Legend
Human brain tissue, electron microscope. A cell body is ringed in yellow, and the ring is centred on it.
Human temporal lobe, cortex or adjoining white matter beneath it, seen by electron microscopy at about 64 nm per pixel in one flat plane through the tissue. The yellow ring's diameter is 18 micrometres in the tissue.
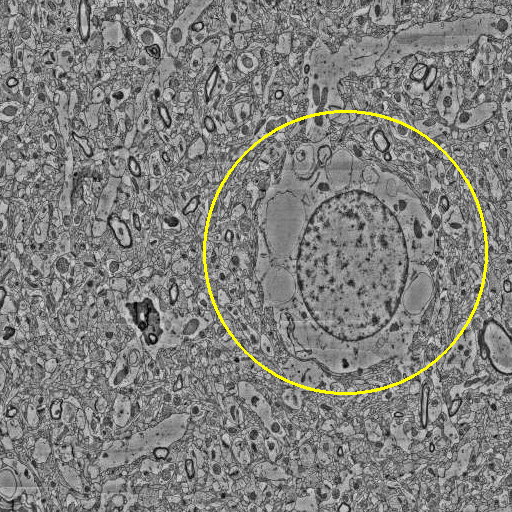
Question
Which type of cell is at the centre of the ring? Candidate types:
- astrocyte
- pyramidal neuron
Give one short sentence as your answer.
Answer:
The yellow ring is centred here on an astrocyte.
